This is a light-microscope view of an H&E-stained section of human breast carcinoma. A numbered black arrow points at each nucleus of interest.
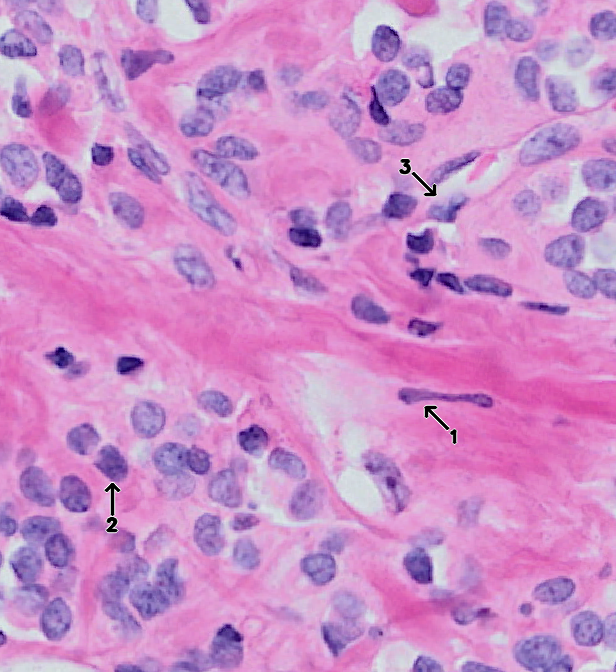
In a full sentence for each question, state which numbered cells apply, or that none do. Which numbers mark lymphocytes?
The marked and numbered cells comprise no lymphocytes.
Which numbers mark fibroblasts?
There is just one numbered cell that is a fibroblast, and it is cell 1.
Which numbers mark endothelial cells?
Cell 3 is an endothelial cell, while every other numbered cell is not.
